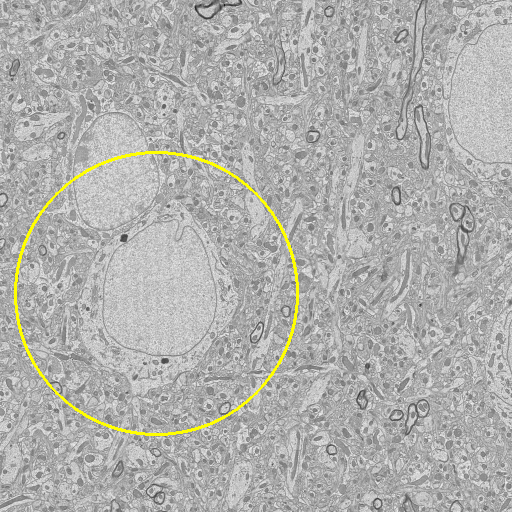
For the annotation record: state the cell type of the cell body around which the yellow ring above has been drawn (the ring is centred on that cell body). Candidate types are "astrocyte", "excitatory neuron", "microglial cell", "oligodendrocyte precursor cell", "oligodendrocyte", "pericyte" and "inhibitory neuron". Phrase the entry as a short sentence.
The ringed cell is an excitatory neuron.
